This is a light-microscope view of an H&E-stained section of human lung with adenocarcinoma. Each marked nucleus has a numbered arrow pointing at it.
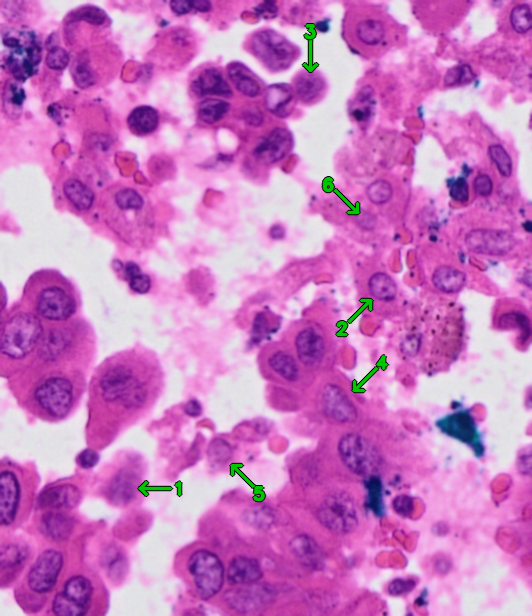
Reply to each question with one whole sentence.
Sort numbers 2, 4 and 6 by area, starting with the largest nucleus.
Largest first, the order by area is 4, 2, 6.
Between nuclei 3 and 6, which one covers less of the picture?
Nucleus 6 covers less area, with nucleus 3 about 2 times as large.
